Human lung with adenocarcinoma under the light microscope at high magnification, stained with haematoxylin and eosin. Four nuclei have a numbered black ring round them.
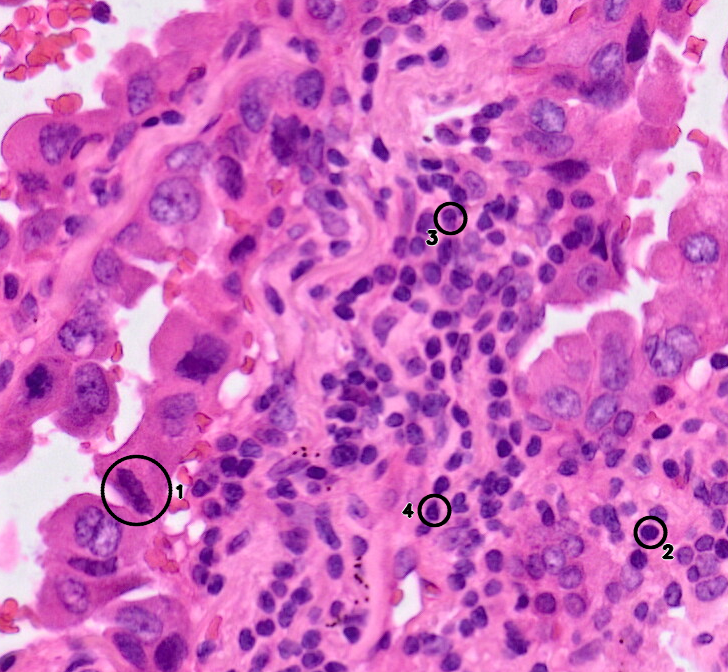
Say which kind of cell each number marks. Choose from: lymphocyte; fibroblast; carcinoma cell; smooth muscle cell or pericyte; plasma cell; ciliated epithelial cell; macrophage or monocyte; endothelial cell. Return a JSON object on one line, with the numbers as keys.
{"1": "carcinoma cell", "2": "lymphocyte", "3": "lymphocyte", "4": "lymphocyte"}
